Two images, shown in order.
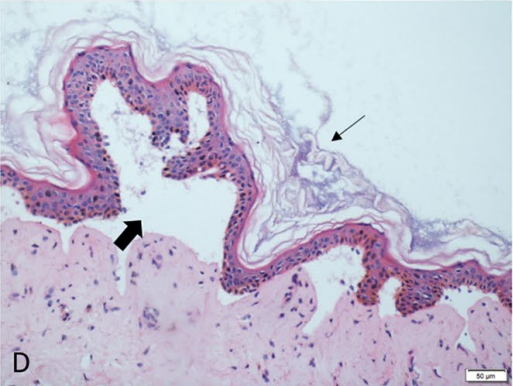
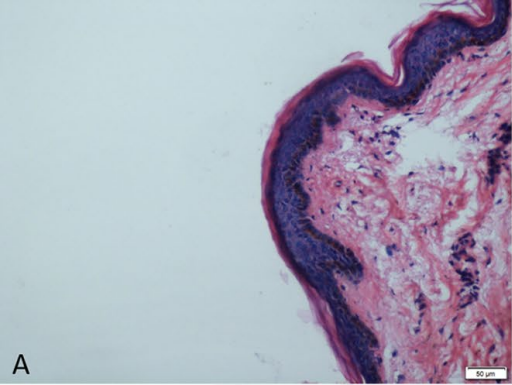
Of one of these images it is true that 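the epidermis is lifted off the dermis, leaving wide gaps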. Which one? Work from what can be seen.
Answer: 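First image: wide empty clefts lie between the epidermal band and the dermis. Second image: the epidermis sits directly on the dermis with no gap. On this evidence: the first image.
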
